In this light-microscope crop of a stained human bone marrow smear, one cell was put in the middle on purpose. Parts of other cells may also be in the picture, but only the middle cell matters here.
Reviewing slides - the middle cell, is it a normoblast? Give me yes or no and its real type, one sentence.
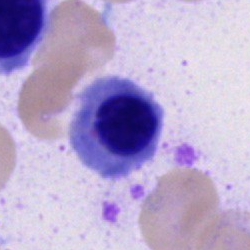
Yes, the centred cell is categorised as a normoblast.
